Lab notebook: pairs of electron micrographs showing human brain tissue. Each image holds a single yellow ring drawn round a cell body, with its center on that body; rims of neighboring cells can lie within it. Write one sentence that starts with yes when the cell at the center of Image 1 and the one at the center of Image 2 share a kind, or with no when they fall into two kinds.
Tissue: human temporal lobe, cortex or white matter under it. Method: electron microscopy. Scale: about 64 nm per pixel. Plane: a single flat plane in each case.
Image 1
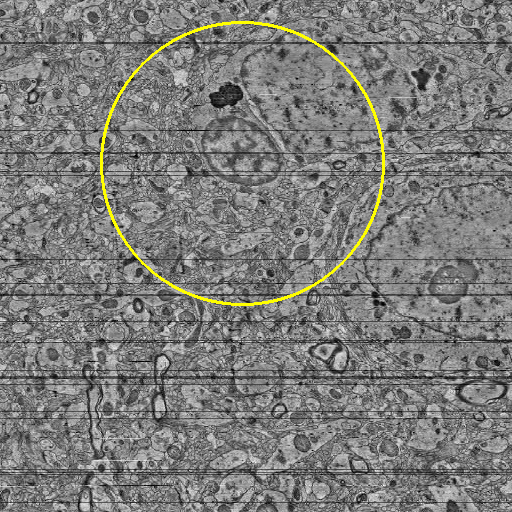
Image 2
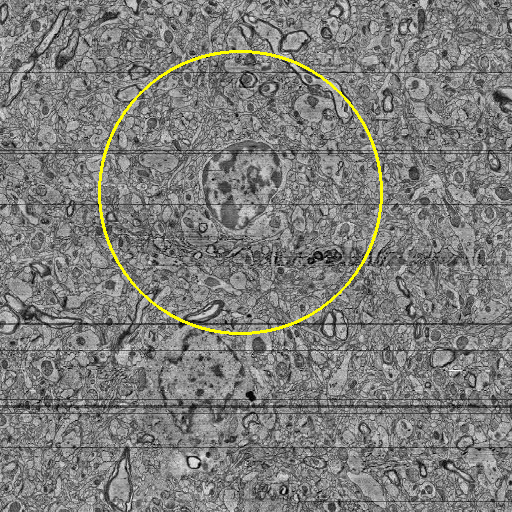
No, the centered cell in Image 1 and the centered cell in Image 2 are of two kinds.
